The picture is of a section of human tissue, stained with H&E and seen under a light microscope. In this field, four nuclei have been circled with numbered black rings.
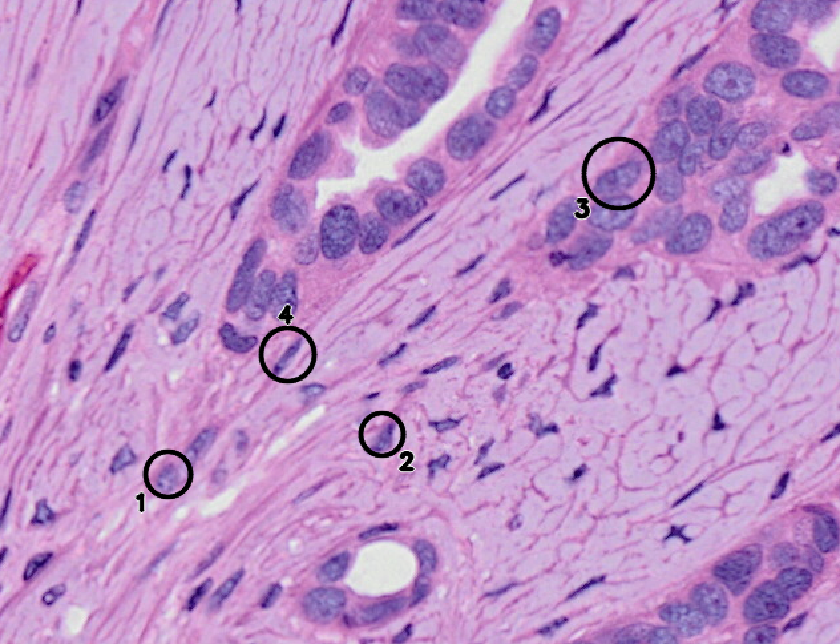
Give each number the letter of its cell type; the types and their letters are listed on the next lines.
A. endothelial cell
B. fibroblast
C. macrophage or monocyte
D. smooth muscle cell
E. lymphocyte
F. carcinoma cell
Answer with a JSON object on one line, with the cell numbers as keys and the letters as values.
{"1": "B", "2": "B", "3": "F", "4": "B"}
